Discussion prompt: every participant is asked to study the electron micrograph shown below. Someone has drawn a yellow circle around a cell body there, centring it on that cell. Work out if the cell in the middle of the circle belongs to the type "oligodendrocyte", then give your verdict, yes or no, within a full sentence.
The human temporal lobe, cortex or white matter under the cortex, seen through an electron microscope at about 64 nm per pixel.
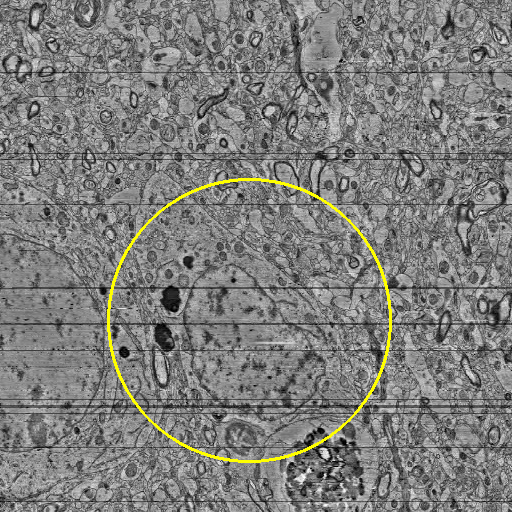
No, my verdict is that the cell in the circle's centre is of a different type.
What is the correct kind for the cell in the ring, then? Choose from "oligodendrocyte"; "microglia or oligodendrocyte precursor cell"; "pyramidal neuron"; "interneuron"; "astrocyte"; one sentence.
The cell in question here is an interneuron.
